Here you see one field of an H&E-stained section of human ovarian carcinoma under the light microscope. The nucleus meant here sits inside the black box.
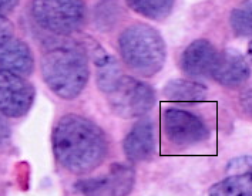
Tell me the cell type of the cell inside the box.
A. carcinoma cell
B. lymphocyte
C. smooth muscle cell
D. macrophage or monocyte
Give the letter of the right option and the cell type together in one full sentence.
The correct option is A, as the cell inside the box is a carcinoma cell.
